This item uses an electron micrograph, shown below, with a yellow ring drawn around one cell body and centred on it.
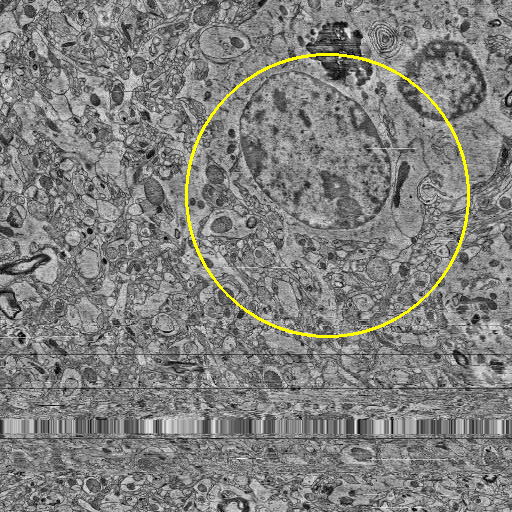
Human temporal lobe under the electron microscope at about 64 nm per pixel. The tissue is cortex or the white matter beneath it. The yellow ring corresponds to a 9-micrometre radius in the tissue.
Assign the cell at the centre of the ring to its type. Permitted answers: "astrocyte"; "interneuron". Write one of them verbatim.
astrocyte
